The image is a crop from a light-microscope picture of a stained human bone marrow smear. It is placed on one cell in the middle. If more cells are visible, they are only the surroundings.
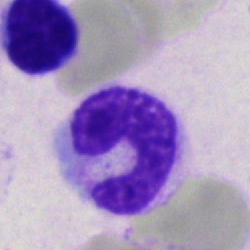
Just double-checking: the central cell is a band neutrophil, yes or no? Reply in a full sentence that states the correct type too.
Yes, the middle cell here is a band neutrophil.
